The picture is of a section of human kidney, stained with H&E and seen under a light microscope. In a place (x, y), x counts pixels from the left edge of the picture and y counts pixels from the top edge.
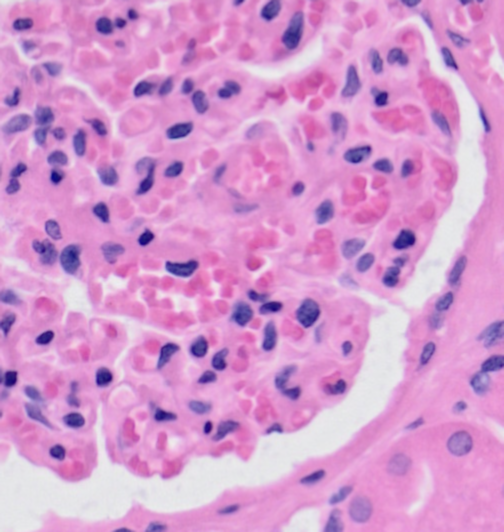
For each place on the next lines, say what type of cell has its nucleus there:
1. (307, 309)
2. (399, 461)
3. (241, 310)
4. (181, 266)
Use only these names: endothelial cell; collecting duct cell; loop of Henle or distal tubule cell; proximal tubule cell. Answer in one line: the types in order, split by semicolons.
endothelial cell; proximal tubule cell; endothelial cell; endothelial cell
